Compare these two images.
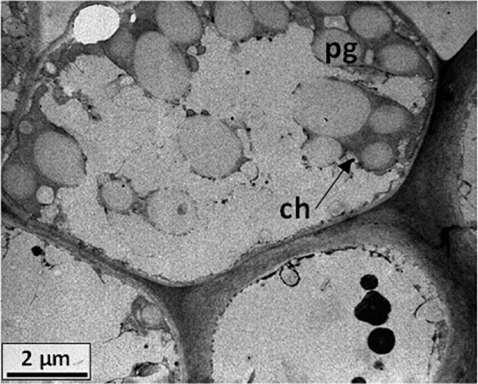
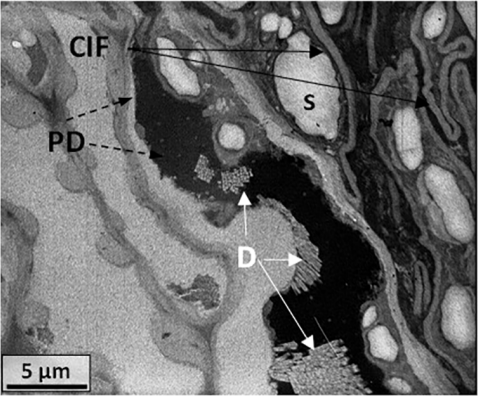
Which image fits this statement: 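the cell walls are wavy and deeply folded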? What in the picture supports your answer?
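The second image. Second image: the cell walls run in wavy, folded layers around the cells. First image: the cell walls are smooth, evenly curved outlines.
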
